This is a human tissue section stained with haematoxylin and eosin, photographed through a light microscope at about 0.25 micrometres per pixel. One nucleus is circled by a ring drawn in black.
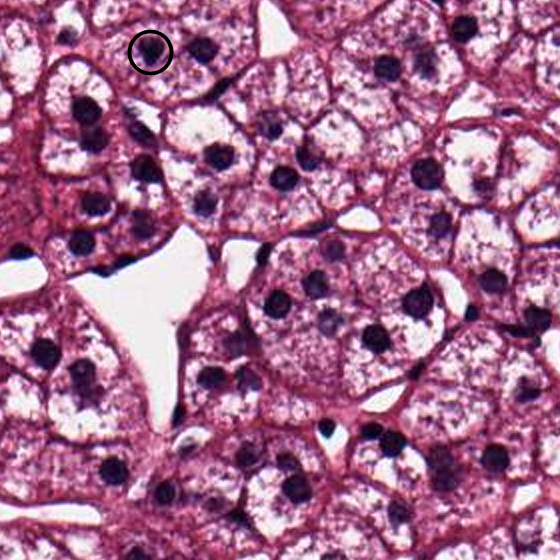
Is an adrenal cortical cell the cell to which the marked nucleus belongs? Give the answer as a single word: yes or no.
yes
